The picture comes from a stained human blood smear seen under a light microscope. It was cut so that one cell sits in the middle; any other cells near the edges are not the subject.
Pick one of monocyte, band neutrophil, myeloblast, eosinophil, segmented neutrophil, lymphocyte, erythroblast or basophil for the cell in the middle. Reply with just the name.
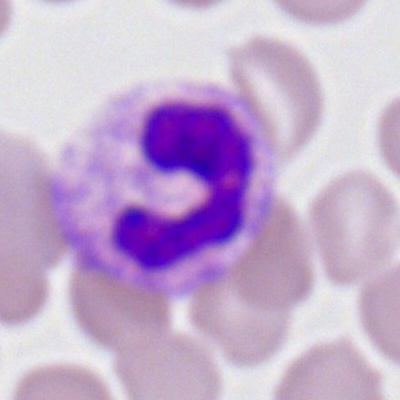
band neutrophil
